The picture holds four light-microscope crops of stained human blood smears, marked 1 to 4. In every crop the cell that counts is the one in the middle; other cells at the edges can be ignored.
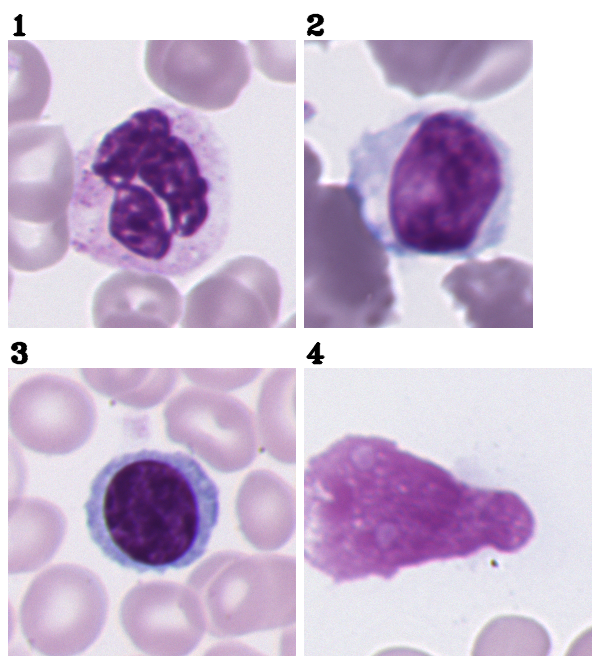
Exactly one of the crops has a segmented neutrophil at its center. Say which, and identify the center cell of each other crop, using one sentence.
Crop 1 is a segmented neutrophil and, for the others, crop 2 is a hairy cell, crop 3 is a typical lymphocyte and crop 4 is a smudge cell.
